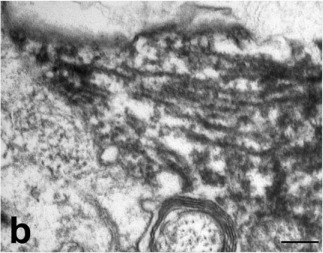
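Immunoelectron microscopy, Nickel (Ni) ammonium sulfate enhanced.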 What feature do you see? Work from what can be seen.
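Dark granular deposits decorate the filaments. So: straight filaments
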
